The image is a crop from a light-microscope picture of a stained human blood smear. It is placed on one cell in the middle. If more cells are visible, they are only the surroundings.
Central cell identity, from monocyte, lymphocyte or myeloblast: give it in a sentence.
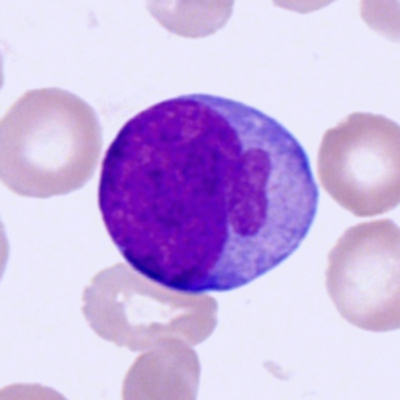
The crop centres on a single cell, and that cell is a myeloblast.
